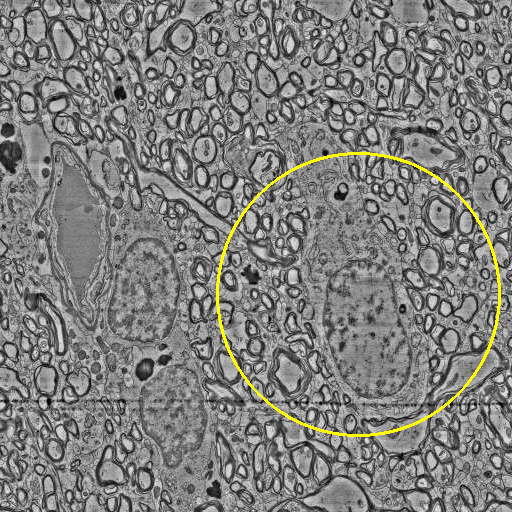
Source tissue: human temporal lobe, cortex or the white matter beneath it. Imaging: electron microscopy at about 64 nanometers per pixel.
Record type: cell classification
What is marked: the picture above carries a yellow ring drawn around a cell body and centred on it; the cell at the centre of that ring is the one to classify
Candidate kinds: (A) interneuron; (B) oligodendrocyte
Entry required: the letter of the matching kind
A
